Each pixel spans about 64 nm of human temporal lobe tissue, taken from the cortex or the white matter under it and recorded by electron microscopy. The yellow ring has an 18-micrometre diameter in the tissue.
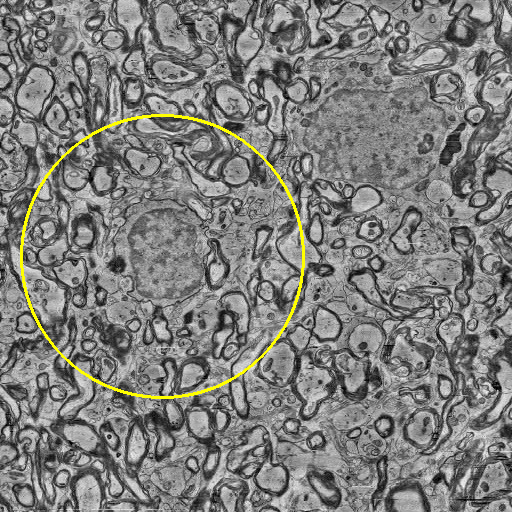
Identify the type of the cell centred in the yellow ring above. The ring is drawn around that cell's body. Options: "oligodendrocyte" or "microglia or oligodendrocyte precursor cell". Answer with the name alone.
oligodendrocyte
